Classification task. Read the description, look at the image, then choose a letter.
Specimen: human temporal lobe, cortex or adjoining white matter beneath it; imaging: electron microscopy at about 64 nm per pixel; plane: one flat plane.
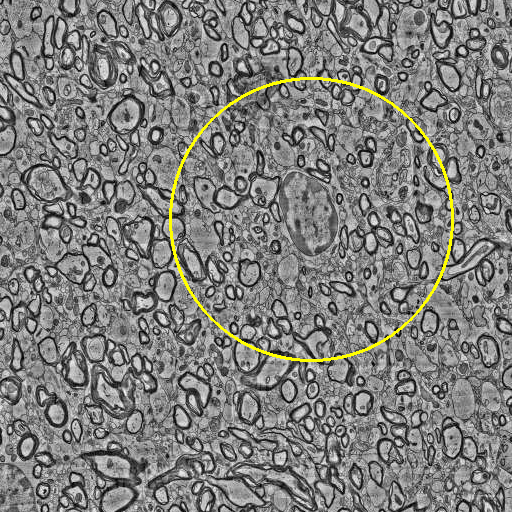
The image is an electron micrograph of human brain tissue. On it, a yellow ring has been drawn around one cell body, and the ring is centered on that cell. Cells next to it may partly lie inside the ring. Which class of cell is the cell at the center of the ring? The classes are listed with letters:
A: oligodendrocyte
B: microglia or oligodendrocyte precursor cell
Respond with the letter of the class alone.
B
